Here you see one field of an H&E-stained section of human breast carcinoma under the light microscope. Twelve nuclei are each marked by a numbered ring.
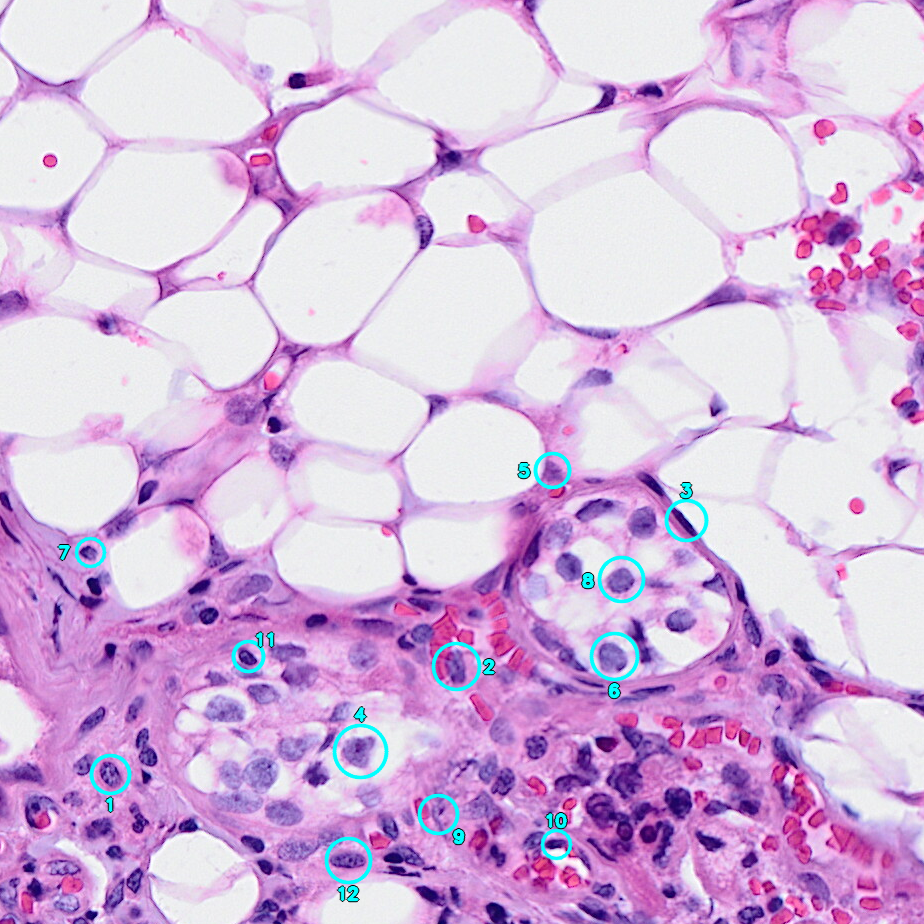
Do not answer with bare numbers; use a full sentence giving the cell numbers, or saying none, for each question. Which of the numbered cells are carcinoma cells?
Identified as carcinoma cells are the cells numbered 4, 6 and 8.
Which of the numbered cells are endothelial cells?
The cells numbered 2, 3, 5, 9 and 10 fall into the category of endothelial cells.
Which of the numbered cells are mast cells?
The cells identified by the numbers 1, 7 and 12 are mast cells.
